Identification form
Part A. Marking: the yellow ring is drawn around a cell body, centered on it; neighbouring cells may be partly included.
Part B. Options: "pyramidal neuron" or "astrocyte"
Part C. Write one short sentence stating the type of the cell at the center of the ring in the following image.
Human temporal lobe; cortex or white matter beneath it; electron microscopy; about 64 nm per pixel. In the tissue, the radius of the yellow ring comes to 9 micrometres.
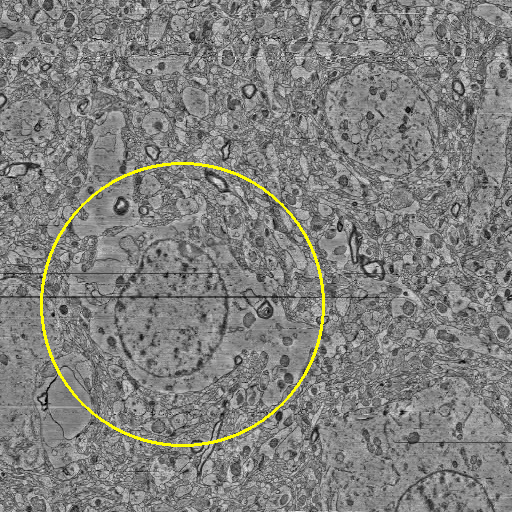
The center of the ring holds an astrocyte.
